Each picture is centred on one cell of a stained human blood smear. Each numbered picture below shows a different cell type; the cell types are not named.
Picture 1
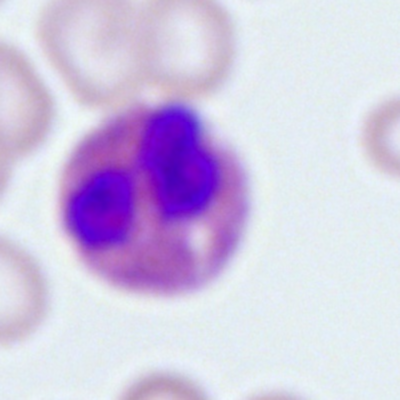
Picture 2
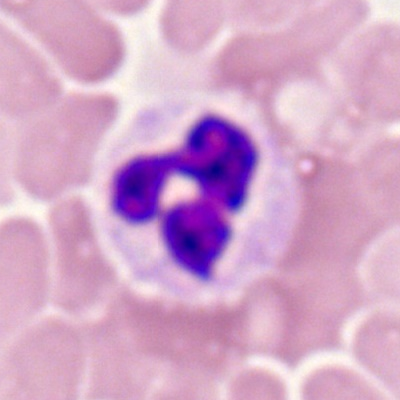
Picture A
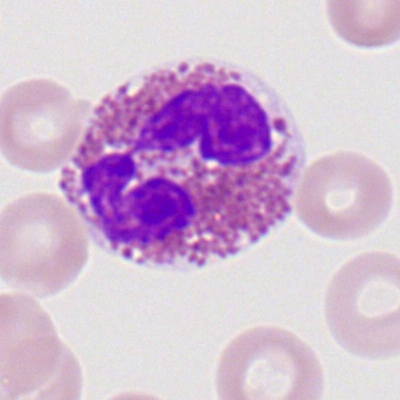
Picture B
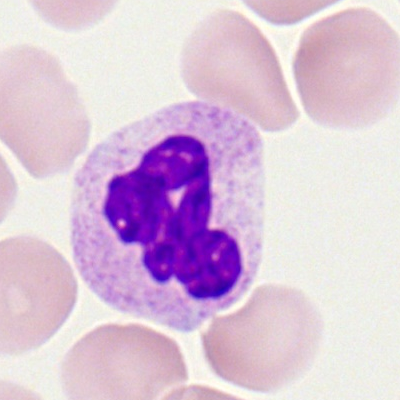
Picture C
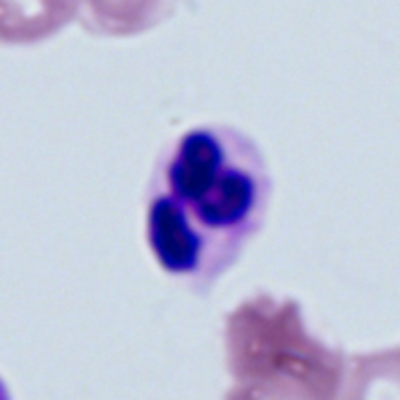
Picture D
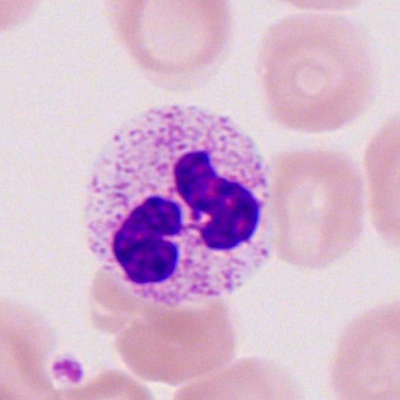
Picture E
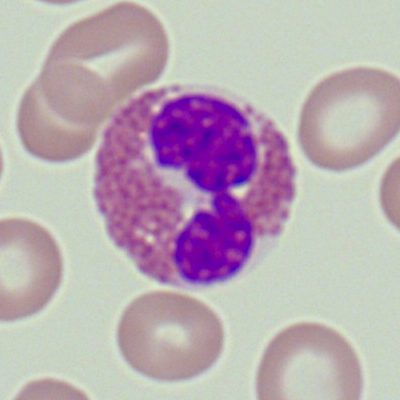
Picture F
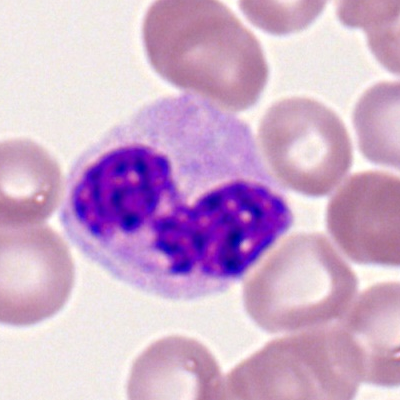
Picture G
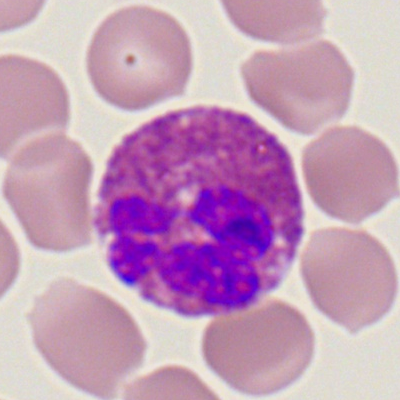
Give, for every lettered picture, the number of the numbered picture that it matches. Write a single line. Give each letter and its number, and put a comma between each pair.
A 1, B 2, C 2, D 2, E 1, F 2, G 1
